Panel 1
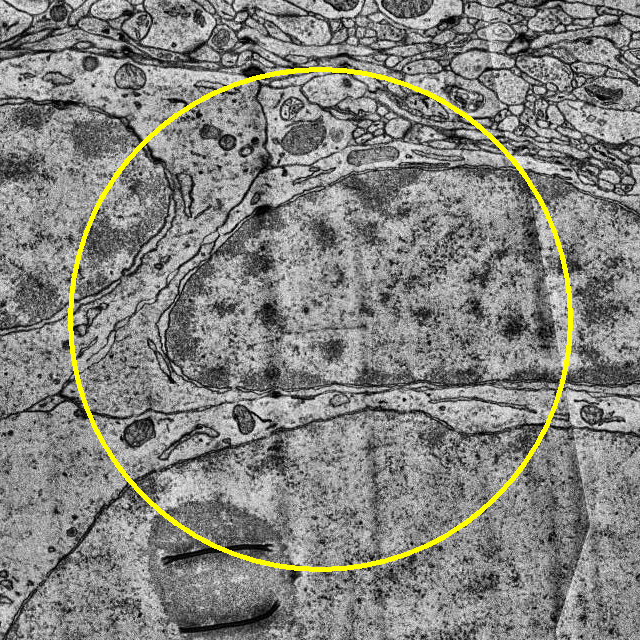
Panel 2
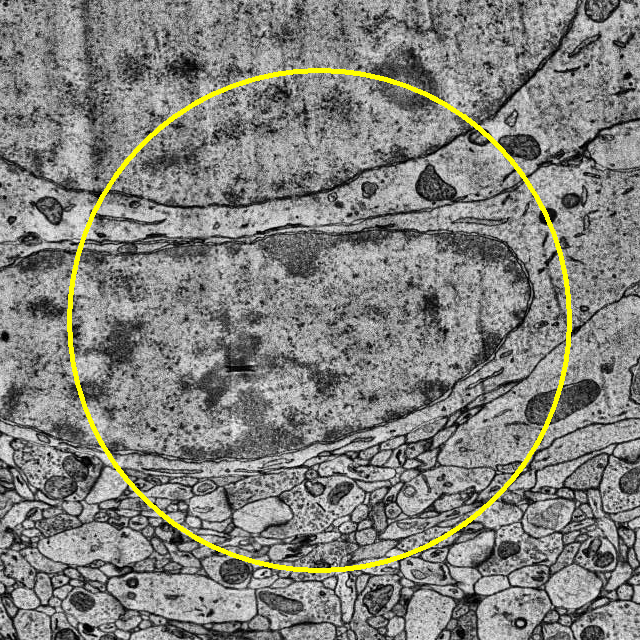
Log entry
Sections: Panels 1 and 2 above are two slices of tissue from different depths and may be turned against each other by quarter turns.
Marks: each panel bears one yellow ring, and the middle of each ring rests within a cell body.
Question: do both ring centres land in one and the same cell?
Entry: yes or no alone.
yes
